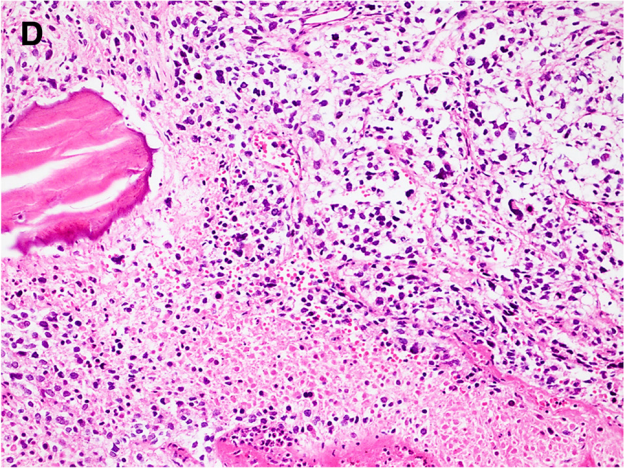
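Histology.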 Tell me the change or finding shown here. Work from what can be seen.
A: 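Viable tumor cells lie above this area. On this evidence: necrosis.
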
